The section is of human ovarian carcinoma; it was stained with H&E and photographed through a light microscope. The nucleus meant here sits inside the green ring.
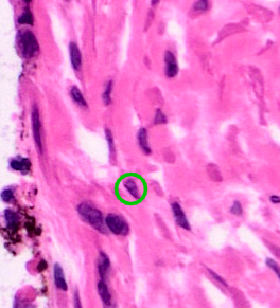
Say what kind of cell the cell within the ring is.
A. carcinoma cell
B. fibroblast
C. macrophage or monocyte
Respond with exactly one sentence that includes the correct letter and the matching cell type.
Option B is the right choice, for the cell within the ring is a fibroblast.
